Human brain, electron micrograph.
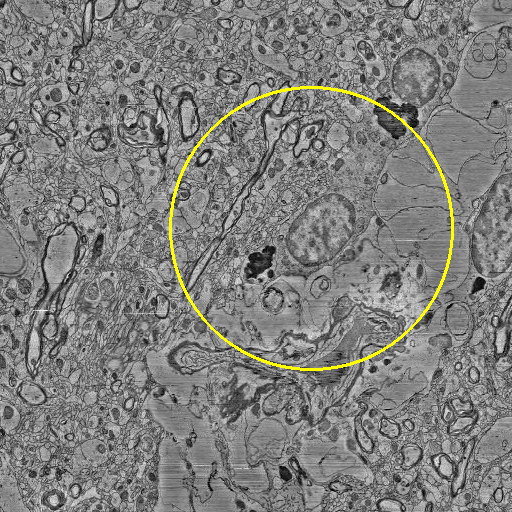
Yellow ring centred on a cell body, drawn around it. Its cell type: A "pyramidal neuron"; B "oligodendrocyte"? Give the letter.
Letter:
B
